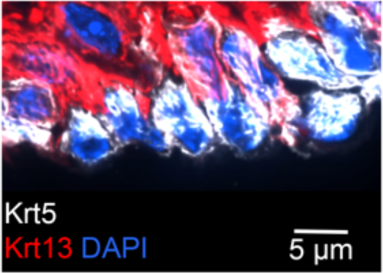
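The bottom row consists of tall, closely packed cells with large oval blue nuclei whose cytoplasm is filled with white filament bundles. Above and between these, red filamentous cytoplasm dominates, belonging to the cells of the overlying layers. The filaments run as wavy strands through the cytoplasm and outline the cell borders. The basal cells stand side by side along the lower edge of the epithelium.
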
